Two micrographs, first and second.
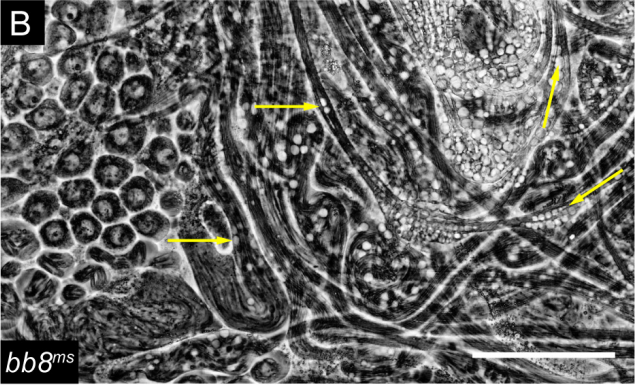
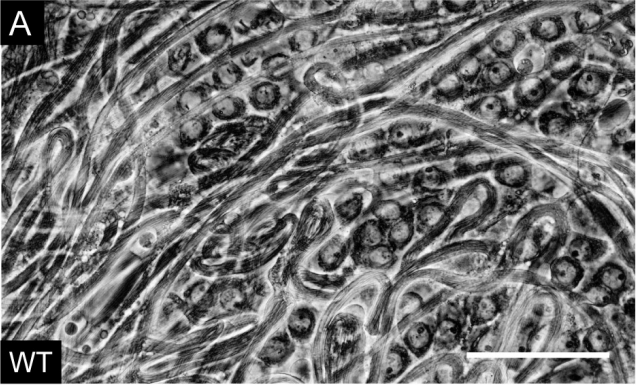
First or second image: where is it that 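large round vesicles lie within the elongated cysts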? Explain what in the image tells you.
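The first image. First image: many bright round bodies lie inside and among the long bundles. Second image: the long bundles are smooth and striated without bright round bodies.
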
